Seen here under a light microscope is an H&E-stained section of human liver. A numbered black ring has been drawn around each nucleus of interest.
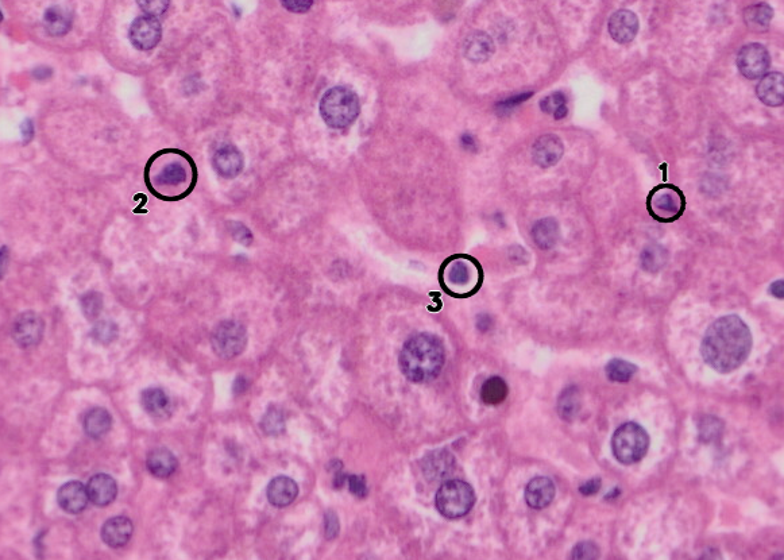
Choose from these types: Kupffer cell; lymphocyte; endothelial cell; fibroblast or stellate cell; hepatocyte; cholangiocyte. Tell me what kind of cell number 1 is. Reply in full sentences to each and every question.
That cell with number 1 is a fibroblast or stellate cell.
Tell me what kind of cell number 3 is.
The cell whose nucleus carries the number 3 is a lymphocyte.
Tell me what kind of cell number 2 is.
Cell 2, among those numbered, is a fibroblast or stellate cell.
